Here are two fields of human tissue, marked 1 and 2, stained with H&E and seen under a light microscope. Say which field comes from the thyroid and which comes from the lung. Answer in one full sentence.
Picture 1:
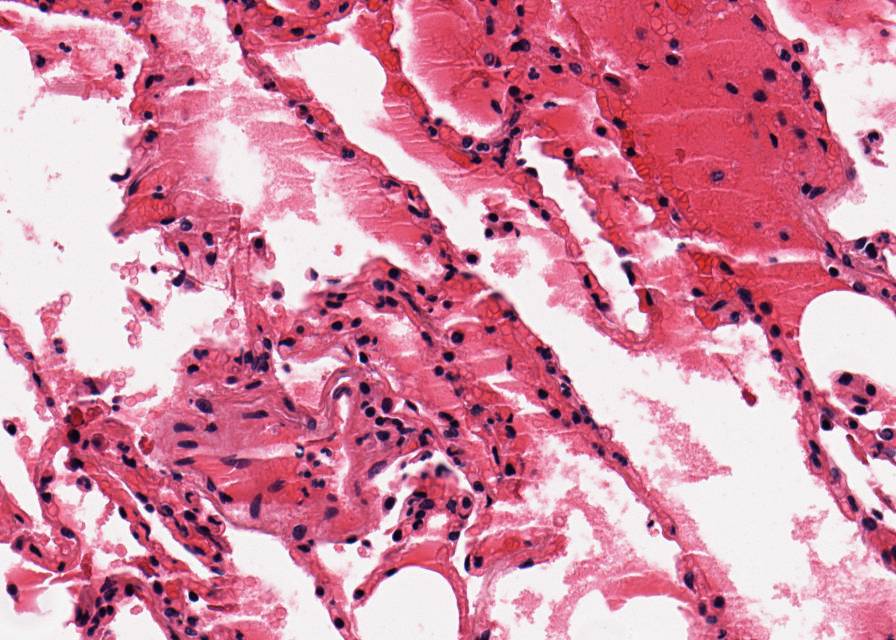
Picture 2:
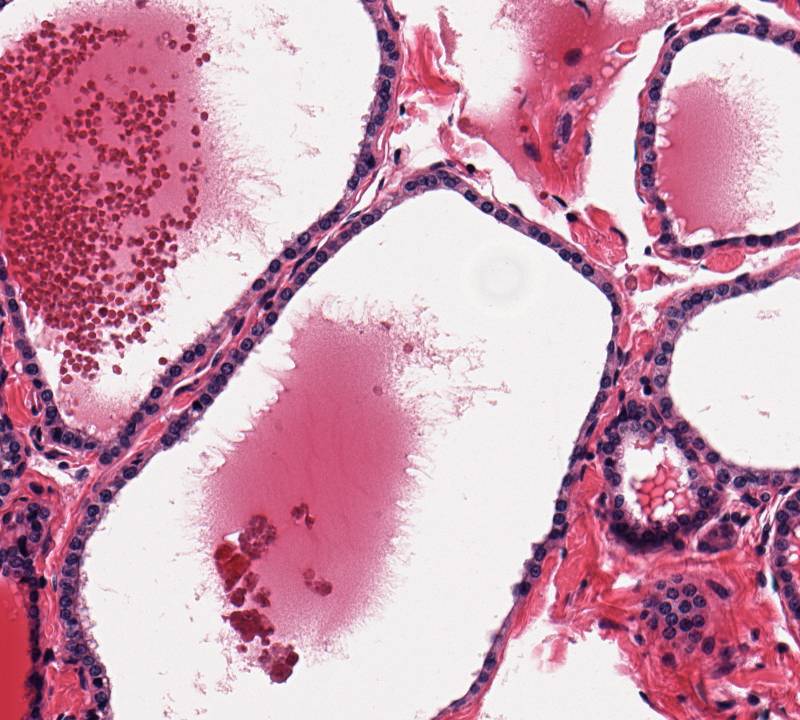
Picture 1 comes from the lung; picture 2 comes from the thyroid.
